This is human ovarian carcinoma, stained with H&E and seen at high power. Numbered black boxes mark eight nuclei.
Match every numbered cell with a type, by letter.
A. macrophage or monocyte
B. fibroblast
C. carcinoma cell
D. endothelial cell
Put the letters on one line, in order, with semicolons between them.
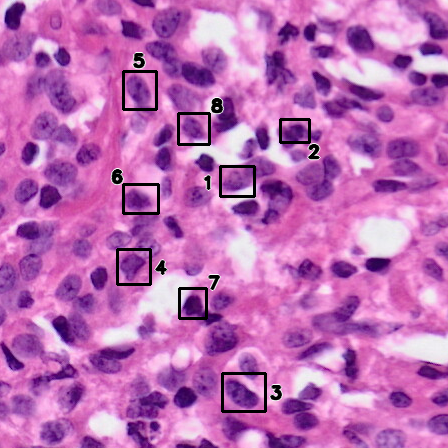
C; A; A; C; A; C; C; C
